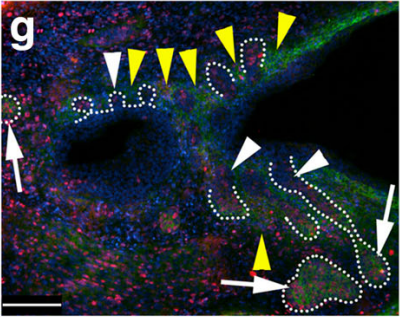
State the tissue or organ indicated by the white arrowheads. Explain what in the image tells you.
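The white arrowheads point to small dashed-outlined cords and ducts. These outlined profiles show little green.
Hence: duct epithelium.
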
